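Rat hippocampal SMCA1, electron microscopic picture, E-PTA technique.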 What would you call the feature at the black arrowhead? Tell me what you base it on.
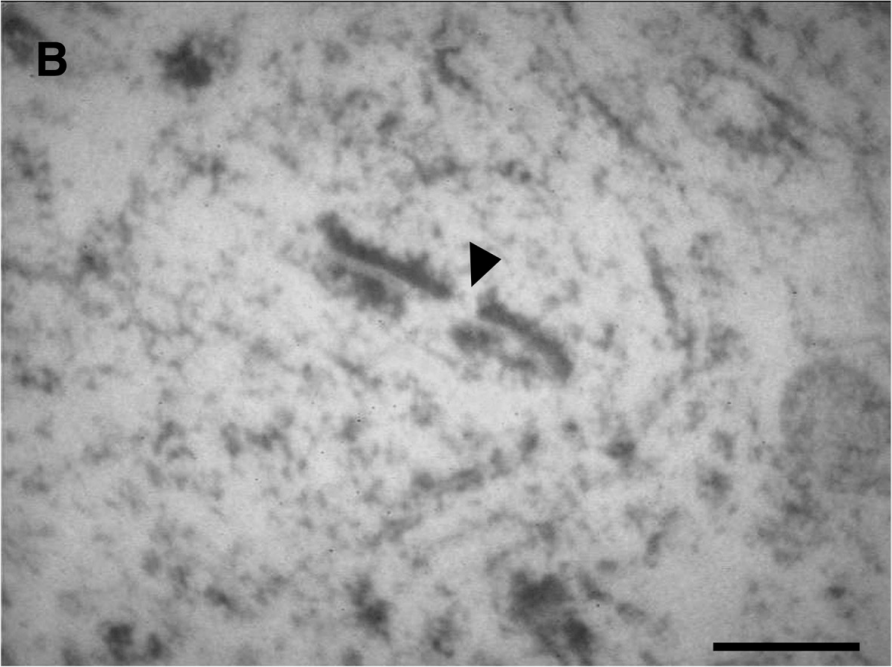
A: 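A long dark paired contact band is interrupted by a pale gap. The arrowhead points at the gap between two dense segments of the band. The segments on either side of the gap are aligned with each other.
Perforation.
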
